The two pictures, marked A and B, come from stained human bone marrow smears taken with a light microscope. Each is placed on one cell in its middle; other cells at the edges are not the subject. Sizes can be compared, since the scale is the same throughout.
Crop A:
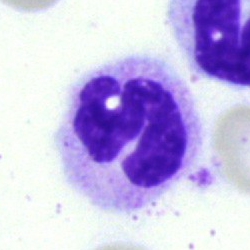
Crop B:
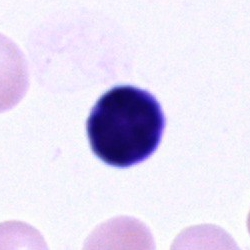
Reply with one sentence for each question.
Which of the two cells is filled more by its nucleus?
The nucleus fills more of the cell in crop B than in crop A.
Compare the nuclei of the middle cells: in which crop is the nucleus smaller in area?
It is the nucleus in crop B; the one in crop A has about 2 times its area.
